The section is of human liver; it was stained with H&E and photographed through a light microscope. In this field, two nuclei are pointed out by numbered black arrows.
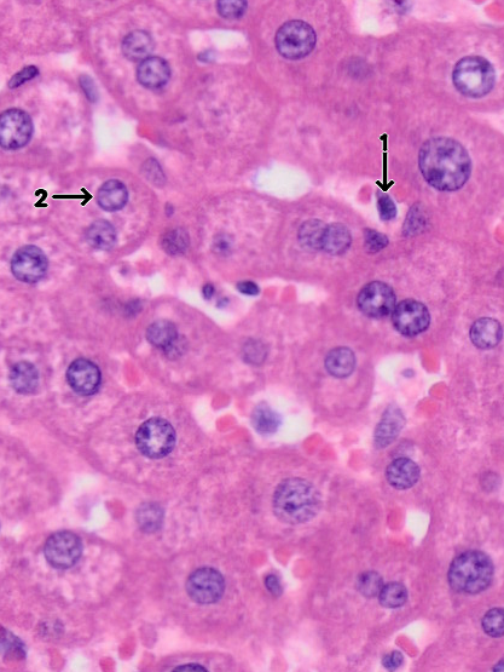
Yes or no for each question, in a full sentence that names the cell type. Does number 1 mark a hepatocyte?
No, calling cell 1 a hepatocyte is incorrect; it is a lymphocyte.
